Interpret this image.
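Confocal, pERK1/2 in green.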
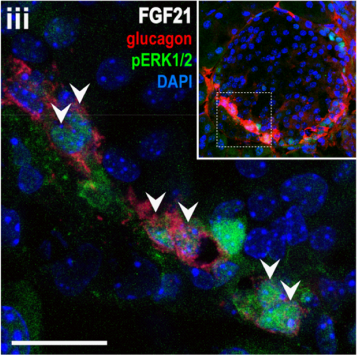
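The edge of a pancreatic islet with α cells along its periphery. A band of cells at the rim has red cytoplasm surrounding round blue nuclei; several of these cells also show green staining overlapping the nucleus and cytoplasm, and arrowheads mark them. Inward, the islet is made of tightly packed cells with round to oval blue nuclei and little red or green. The inset shows the whole islet as a round cluster, the red cells forming a discontinuous ring at its border, with a dashed box over the enlarged region.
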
